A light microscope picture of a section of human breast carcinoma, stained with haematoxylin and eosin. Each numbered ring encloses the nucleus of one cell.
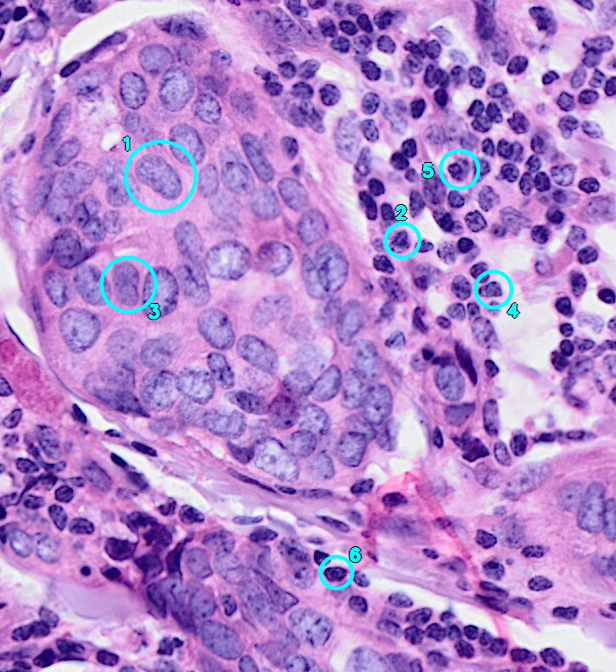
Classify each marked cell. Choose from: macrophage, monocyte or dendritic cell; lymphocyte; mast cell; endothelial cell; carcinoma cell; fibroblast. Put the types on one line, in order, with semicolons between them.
carcinoma cell; lymphocyte; carcinoma cell; lymphocyte; lymphocyte; lymphocyte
